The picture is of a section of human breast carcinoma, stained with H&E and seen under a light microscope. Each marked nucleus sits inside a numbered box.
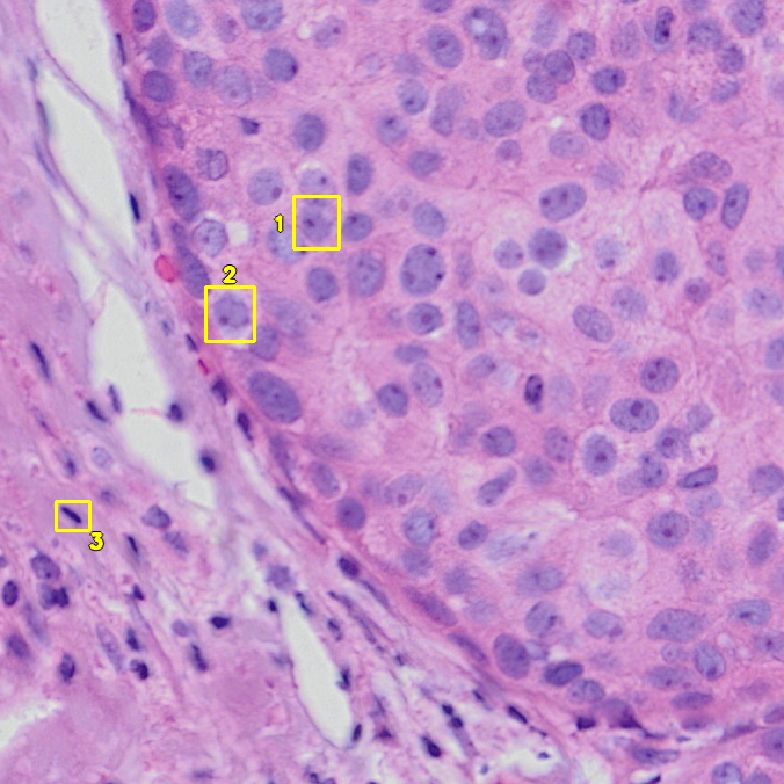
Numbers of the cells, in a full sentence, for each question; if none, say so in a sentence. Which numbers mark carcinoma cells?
Marked by the numbers 1 and 2 are cells that are carcinoma cells.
